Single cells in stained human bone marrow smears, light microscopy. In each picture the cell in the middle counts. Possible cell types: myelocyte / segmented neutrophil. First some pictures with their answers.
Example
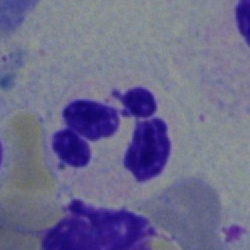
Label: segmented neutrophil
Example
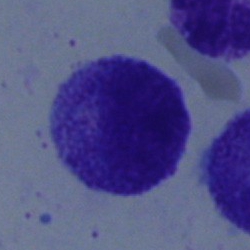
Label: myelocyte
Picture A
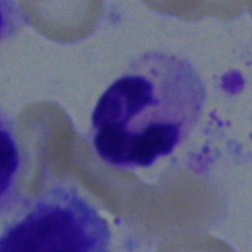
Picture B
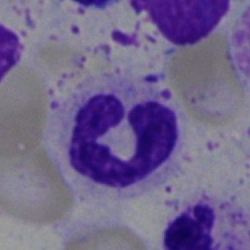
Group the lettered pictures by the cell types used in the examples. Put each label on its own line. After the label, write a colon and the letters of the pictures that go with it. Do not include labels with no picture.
segmented neutrophil: A, B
